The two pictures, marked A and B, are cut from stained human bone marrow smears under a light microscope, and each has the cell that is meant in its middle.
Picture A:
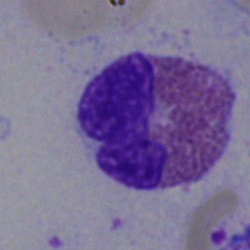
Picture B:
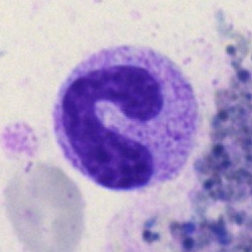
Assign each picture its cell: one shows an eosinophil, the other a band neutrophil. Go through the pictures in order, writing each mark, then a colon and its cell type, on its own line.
A: eosinophil
B: band neutrophil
